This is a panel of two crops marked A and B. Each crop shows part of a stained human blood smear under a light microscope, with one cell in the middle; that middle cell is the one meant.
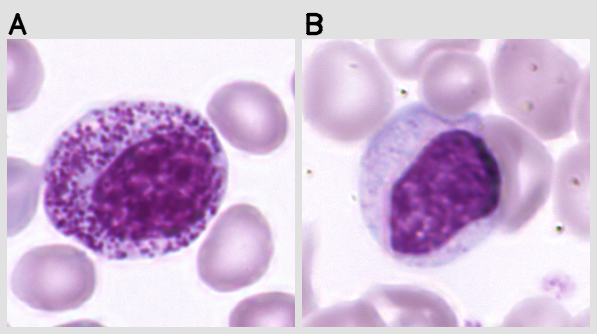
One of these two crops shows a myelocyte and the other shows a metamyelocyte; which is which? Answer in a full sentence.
For crop A the cell is a myelocyte, and for crop B it is a metamyelocyte.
